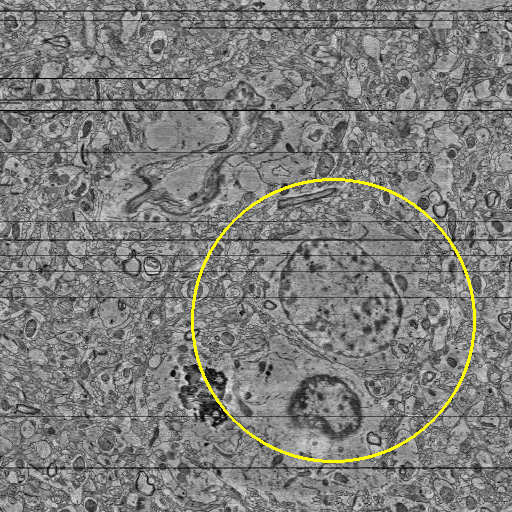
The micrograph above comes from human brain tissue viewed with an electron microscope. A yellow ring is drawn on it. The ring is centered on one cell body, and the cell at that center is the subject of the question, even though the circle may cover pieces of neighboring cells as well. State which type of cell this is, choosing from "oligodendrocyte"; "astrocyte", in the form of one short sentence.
The cell the ring is centered on is an astrocyte.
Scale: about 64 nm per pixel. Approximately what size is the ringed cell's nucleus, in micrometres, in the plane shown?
About 9 by 7 micrometres in this plane.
